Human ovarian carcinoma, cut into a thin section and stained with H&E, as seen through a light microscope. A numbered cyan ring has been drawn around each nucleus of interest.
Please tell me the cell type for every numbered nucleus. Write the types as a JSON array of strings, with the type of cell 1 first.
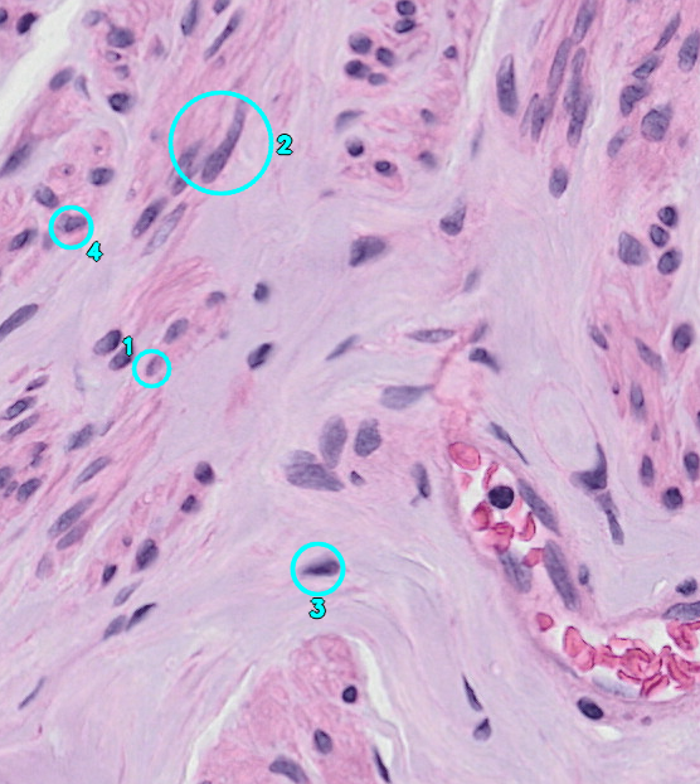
["smooth muscle cell", "smooth muscle cell", "fibroblast", "smooth muscle cell"]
